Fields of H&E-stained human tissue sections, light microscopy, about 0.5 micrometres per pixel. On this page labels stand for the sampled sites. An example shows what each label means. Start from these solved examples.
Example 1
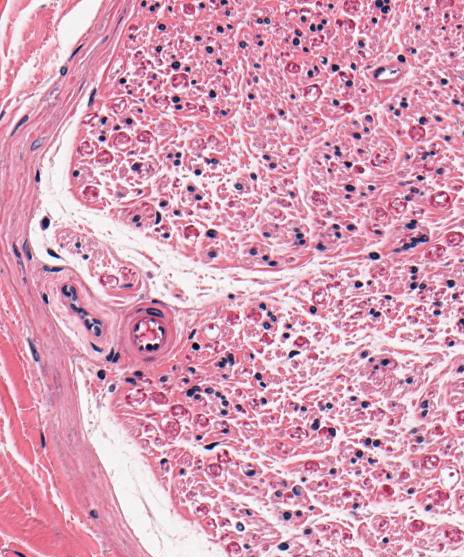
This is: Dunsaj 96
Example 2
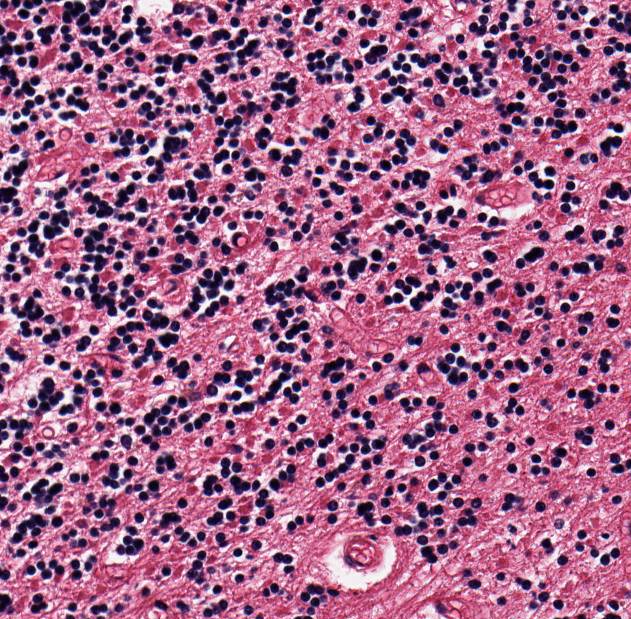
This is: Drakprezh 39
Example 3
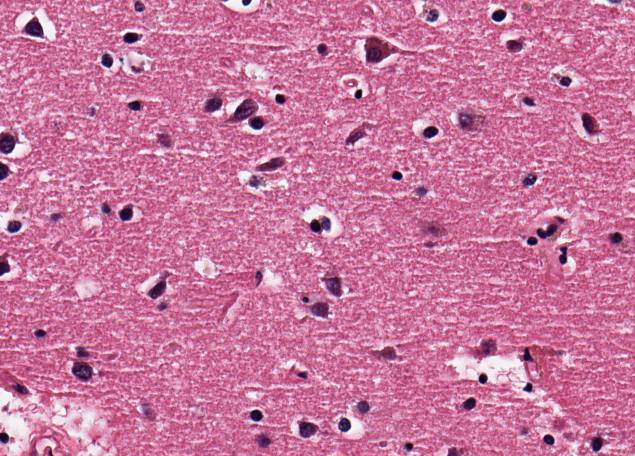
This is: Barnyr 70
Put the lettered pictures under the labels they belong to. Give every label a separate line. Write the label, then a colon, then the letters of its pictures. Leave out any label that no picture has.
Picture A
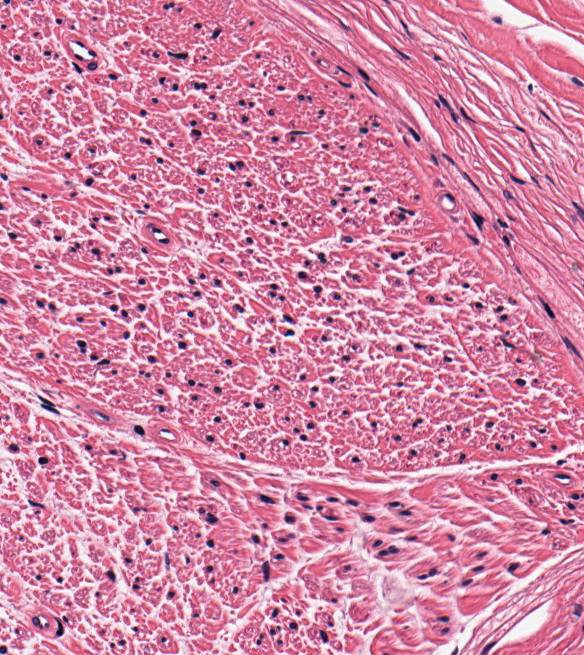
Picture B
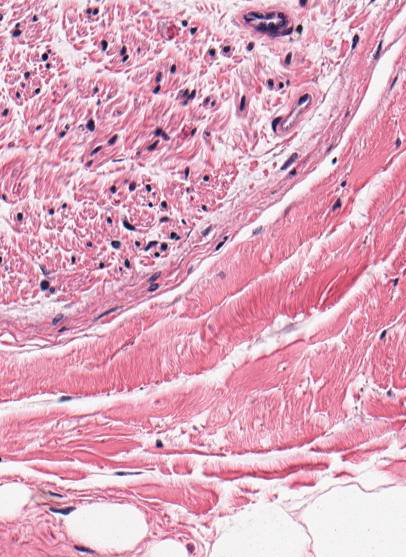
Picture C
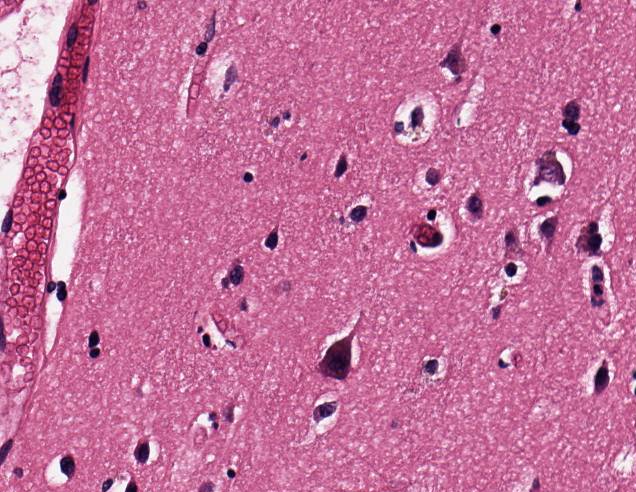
Dunsaj 96: A, B
Barnyr 70: C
